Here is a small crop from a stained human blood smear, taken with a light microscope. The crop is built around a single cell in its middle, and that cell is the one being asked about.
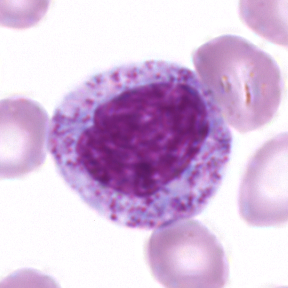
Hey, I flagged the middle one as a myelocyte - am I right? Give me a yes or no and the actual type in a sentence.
Yes, the cell occupying the middle of the crop is a myelocyte.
